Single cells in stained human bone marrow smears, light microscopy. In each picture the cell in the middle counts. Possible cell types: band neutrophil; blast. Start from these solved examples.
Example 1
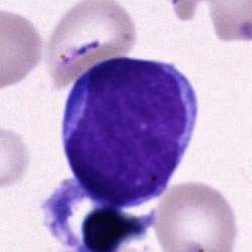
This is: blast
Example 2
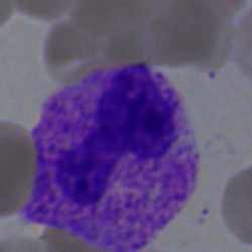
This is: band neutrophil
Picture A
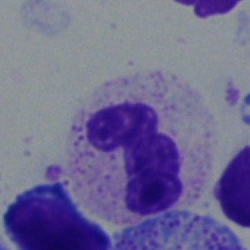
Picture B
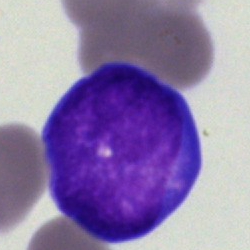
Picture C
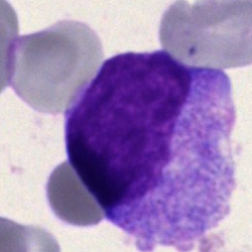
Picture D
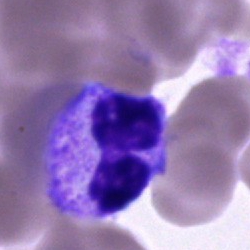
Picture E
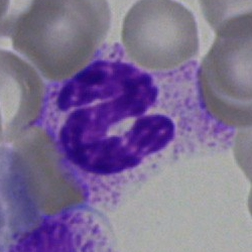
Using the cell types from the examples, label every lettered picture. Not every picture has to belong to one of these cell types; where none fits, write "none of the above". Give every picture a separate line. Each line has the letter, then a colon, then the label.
A: none of the above
B: blast
C: blast
D: none of the above
E: none of the above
